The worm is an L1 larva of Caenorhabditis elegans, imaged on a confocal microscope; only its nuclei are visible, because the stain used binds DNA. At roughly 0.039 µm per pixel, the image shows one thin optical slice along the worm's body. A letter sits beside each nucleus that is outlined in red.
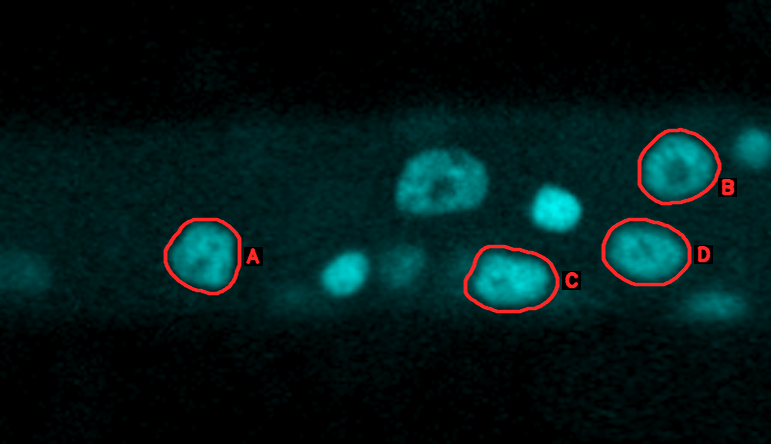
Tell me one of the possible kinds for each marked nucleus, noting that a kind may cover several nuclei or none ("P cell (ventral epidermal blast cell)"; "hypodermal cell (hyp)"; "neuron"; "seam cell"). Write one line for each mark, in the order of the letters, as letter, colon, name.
A: seam cell
B: neuron
C: P cell (ventral epidermal blast cell)
D: seam cell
